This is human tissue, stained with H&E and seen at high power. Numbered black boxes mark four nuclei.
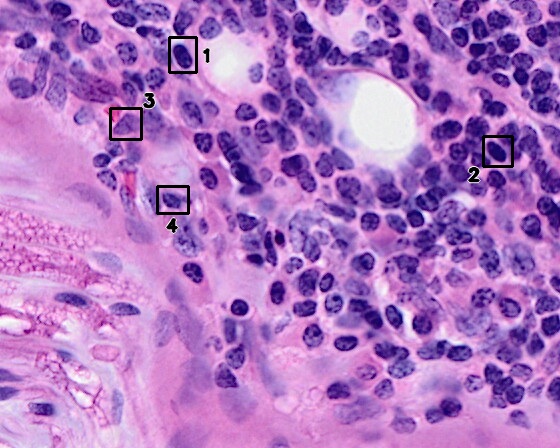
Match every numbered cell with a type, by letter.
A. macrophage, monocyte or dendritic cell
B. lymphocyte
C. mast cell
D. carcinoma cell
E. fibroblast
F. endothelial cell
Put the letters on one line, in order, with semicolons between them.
B; B; F; B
